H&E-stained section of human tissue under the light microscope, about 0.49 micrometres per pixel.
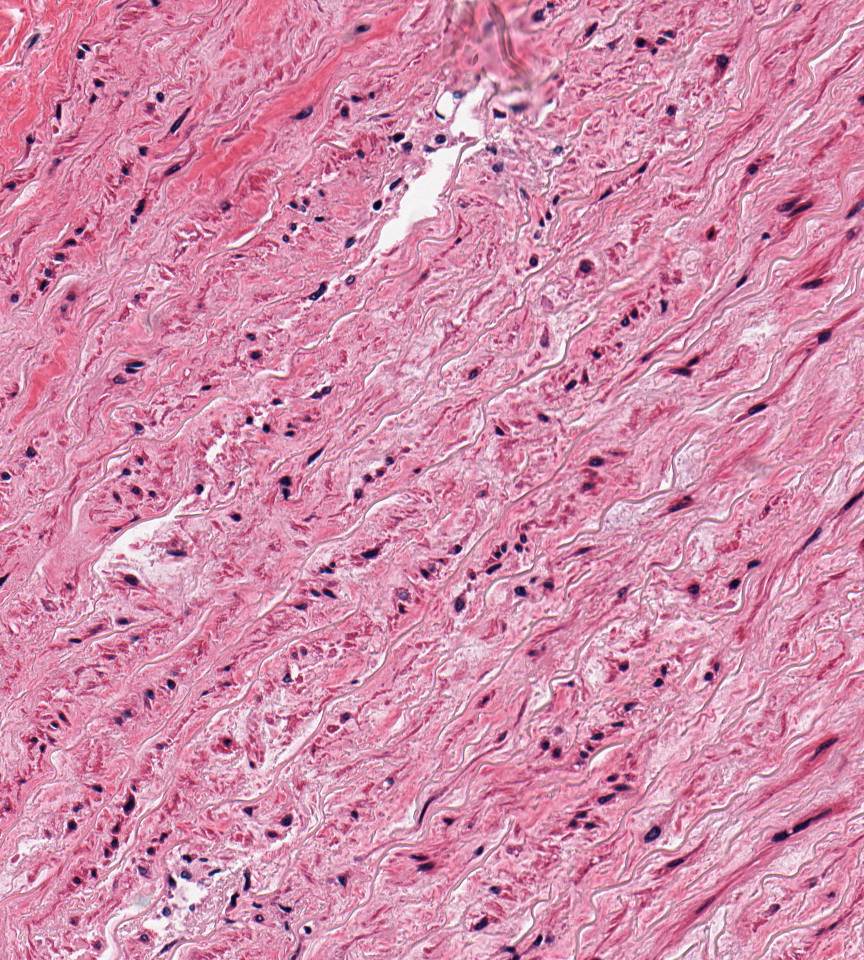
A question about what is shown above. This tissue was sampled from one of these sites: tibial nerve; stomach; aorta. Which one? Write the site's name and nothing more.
aorta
